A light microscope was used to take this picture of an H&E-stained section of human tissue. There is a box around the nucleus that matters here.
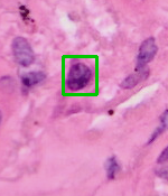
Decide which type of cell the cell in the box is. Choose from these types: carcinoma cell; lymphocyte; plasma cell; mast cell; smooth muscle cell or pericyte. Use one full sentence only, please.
Typologically, the cell in the box is a plasma cell in this section.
